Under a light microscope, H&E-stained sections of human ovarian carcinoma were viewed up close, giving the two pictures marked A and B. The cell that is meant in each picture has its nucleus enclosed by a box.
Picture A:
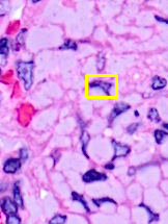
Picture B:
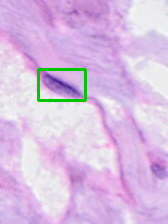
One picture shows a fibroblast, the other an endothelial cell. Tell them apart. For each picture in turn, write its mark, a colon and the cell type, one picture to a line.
A: fibroblast
B: endothelial cell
